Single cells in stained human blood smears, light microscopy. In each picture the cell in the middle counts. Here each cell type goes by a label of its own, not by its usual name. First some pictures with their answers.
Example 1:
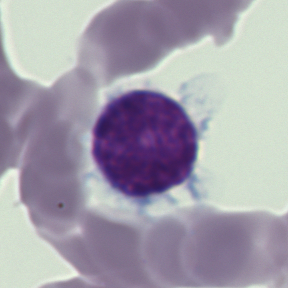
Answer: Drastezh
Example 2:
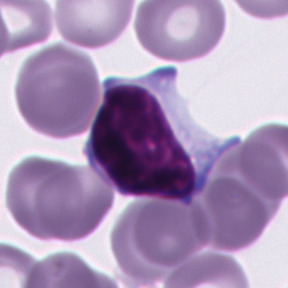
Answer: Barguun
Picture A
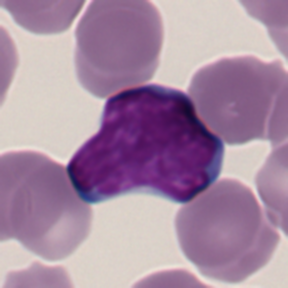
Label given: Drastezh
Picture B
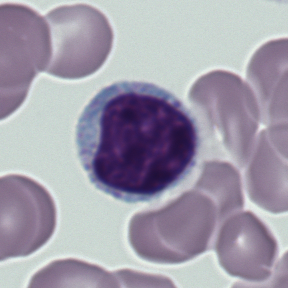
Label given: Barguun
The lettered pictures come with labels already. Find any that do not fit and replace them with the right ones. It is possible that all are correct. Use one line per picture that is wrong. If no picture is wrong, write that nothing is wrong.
Wrong: A (Drastezh); correct: Barguun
